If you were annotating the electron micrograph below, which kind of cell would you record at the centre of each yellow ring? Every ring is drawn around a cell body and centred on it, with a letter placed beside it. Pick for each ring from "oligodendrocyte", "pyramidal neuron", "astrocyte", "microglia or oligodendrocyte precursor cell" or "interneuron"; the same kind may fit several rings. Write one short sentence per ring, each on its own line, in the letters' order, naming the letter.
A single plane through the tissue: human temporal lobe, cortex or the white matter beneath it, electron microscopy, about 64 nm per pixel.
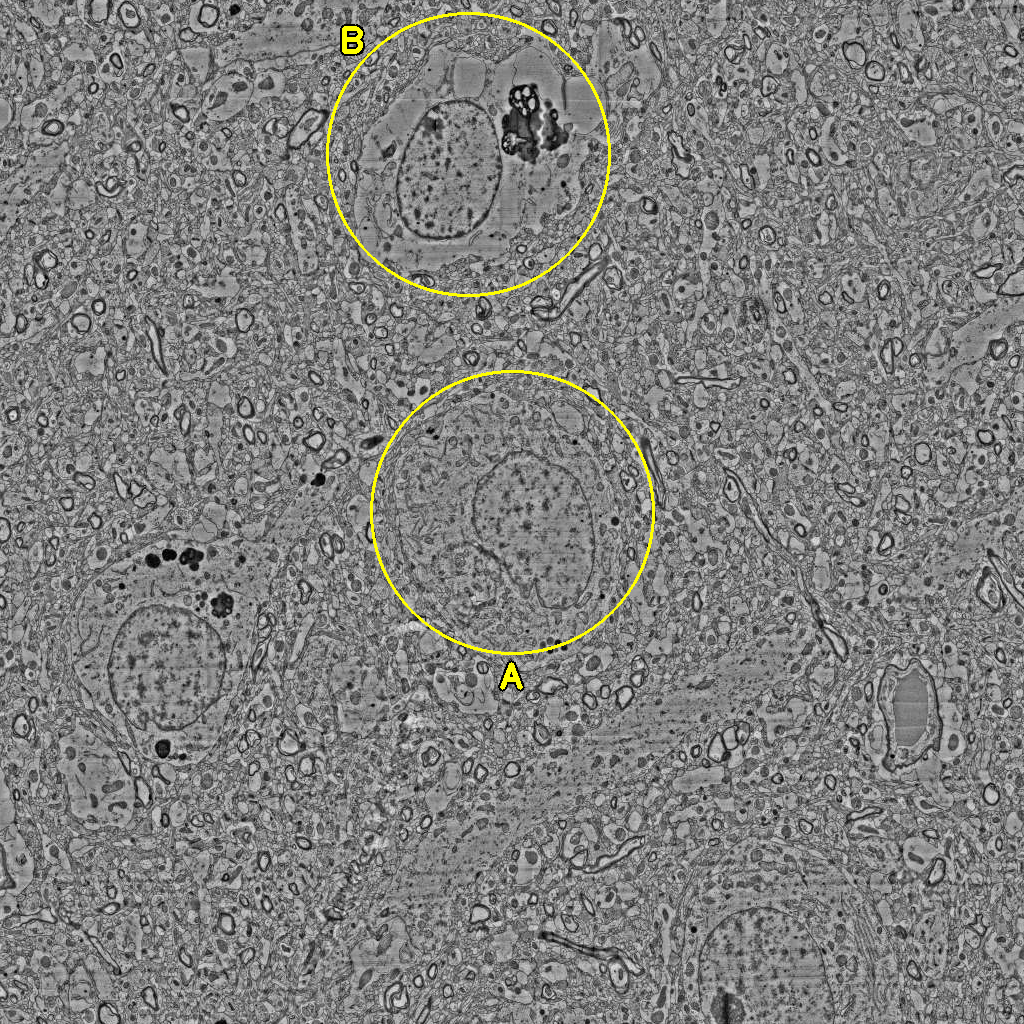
For ring A, I would record an interneuron.
For ring B, I would record an astrocyte.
